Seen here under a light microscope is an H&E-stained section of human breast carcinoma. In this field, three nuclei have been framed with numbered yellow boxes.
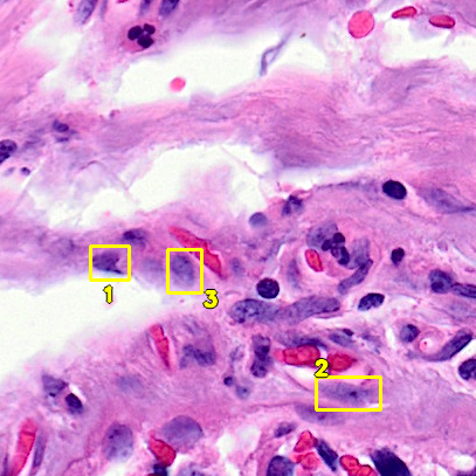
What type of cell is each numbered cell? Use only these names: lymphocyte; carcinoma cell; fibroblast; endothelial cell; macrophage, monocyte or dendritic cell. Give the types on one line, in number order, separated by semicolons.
fibroblast; endothelial cell; endothelial cell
